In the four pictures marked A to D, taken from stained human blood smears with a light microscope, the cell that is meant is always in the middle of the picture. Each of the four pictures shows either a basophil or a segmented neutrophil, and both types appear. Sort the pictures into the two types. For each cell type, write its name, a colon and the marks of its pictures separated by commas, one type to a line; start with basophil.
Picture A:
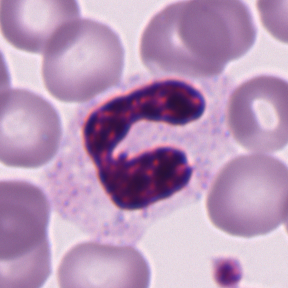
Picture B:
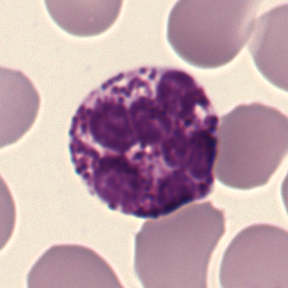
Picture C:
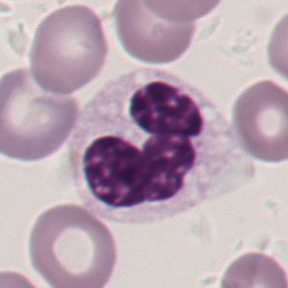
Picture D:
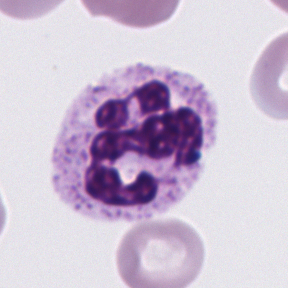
basophil: B
segmented neutrophil: A, C, D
